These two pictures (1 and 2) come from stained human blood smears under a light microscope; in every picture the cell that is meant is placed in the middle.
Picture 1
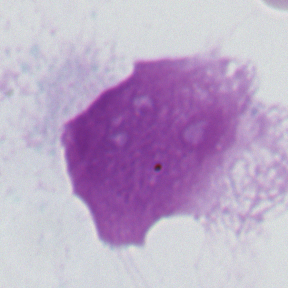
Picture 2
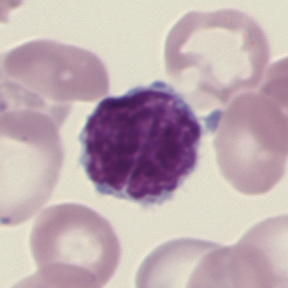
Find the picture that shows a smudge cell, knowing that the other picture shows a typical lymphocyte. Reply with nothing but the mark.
1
